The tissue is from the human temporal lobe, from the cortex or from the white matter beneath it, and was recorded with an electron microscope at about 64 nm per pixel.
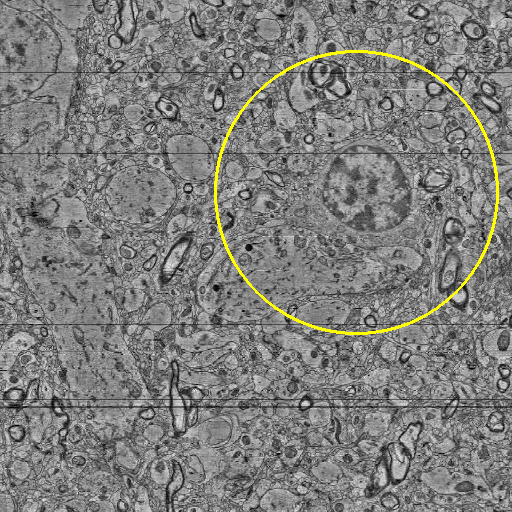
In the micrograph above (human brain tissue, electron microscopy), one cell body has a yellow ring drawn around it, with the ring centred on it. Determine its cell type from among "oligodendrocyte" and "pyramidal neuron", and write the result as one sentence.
The cell whose body is ringed is an oligodendrocyte.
